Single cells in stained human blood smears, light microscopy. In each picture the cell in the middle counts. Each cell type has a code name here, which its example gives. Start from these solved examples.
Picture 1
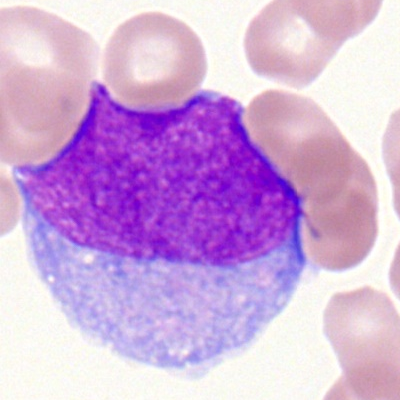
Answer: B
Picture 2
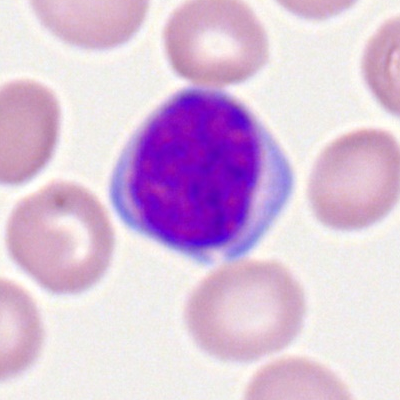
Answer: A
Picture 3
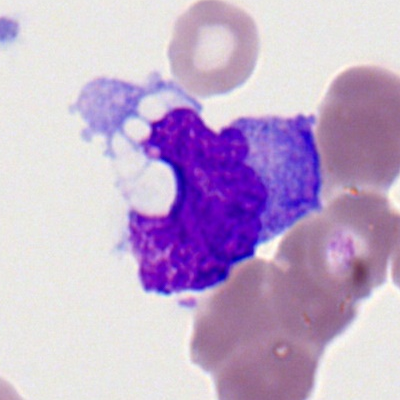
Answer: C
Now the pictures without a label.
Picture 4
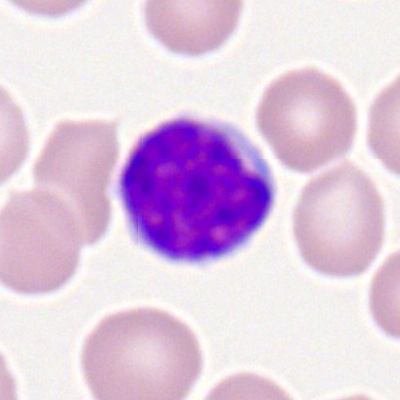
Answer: A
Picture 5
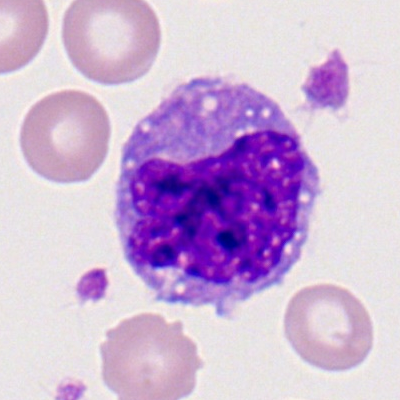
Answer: C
